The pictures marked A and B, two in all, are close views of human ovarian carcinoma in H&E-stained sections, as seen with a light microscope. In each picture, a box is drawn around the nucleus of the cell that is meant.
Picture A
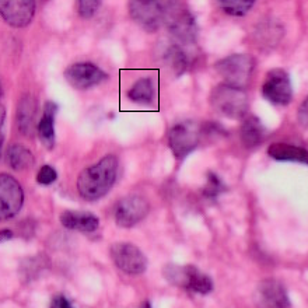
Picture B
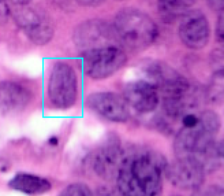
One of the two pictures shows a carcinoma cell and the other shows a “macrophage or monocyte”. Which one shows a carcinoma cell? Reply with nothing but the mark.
B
